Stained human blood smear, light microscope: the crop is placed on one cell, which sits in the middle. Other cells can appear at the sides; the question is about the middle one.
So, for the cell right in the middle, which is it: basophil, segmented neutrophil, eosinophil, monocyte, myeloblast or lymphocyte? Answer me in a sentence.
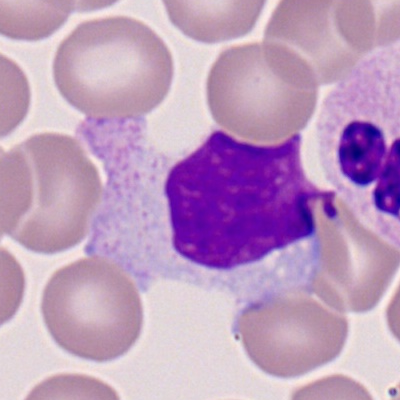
Framed in the middle of the crop is a lymphocyte.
